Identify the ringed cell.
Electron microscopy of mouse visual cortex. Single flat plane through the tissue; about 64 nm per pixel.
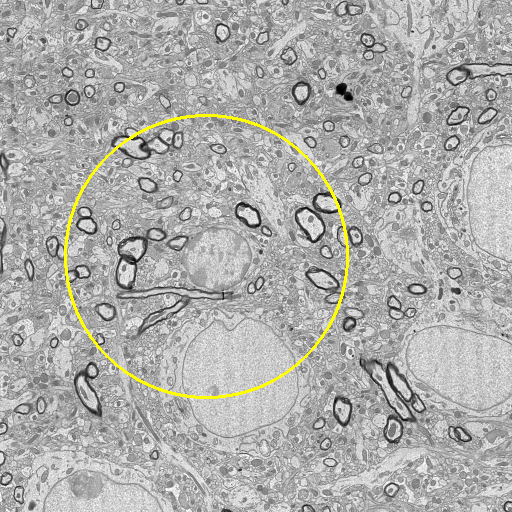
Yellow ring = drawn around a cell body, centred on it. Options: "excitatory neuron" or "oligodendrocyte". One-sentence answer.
What the ring is centred on is an oligodendrocyte.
